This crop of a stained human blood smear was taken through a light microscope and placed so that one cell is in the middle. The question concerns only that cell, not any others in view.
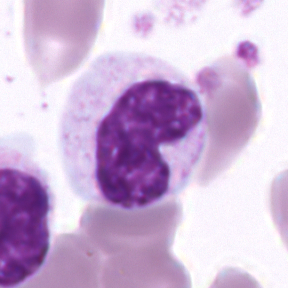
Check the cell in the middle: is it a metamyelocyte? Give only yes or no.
yes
